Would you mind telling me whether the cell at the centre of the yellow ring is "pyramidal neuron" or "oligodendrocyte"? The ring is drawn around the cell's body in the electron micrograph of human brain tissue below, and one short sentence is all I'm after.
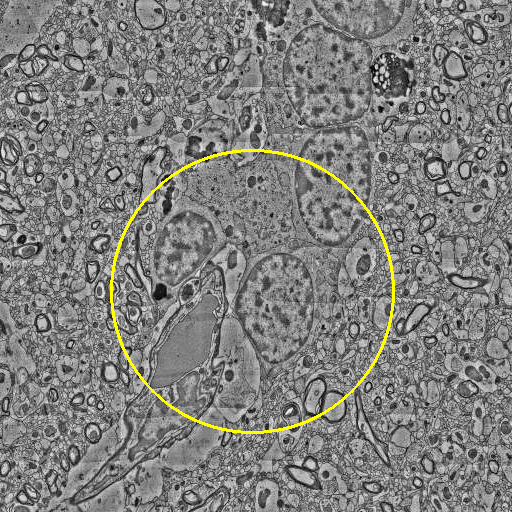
In the centre of the ring lies an oligodendrocyte.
